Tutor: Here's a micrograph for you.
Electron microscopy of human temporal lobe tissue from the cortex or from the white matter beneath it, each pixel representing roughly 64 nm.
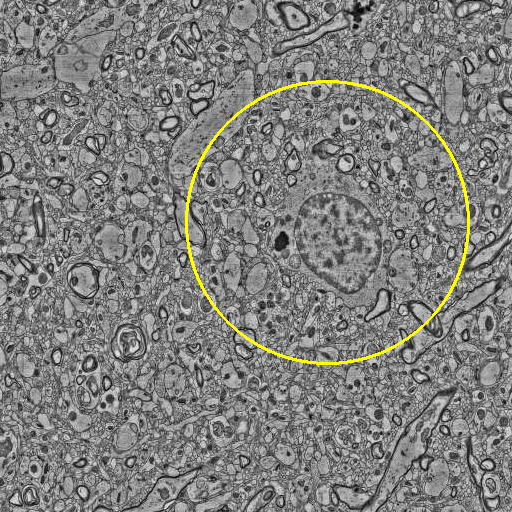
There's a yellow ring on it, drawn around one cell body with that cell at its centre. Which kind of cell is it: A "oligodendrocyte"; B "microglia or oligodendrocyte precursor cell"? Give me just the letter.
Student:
A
